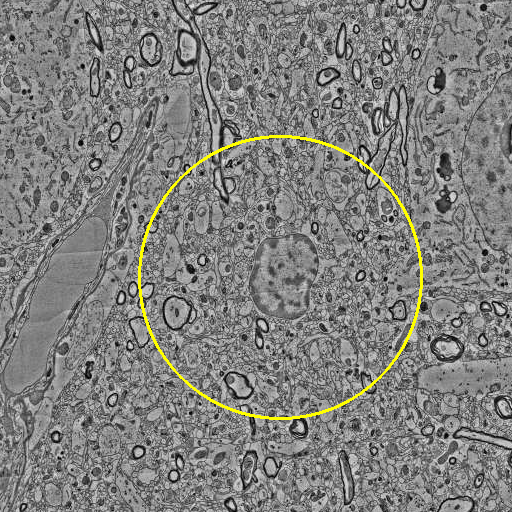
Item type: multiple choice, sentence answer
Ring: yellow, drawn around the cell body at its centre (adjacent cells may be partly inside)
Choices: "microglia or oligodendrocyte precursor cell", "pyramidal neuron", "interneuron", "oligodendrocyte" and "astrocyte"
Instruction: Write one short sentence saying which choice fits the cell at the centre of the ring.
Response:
This ring is drawn around a microglial cell or oligodendrocyte precursor cell.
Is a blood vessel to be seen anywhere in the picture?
Yes.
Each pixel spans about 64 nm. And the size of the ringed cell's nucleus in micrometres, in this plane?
Approximately 5 by 4 micrometers in this plane.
